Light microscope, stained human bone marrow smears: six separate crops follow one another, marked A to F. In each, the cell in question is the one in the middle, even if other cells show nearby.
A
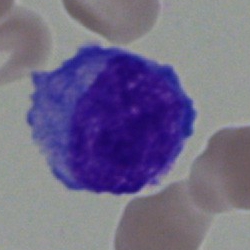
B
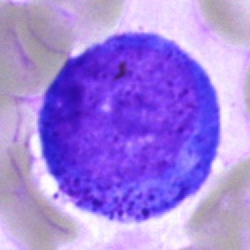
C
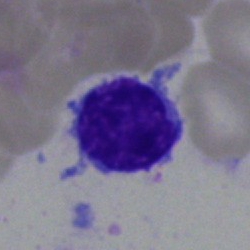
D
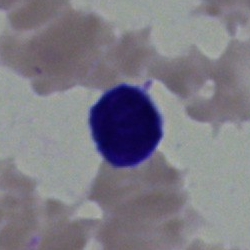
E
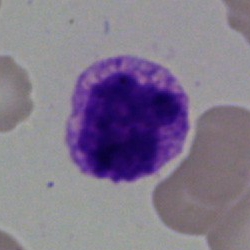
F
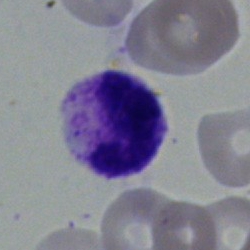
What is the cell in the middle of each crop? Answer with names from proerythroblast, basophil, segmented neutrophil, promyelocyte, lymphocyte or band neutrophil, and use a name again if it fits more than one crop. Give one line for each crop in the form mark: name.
A: promyelocyte
B: promyelocyte
C: lymphocyte
D: lymphocyte
E: basophil
F: segmented neutrophil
